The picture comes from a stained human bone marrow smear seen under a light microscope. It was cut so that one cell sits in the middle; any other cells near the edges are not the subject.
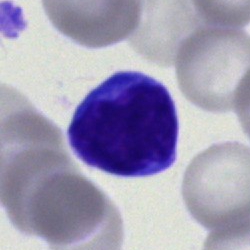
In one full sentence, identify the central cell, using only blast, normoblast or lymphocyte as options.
The cell at the heart of this crop is a blast.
